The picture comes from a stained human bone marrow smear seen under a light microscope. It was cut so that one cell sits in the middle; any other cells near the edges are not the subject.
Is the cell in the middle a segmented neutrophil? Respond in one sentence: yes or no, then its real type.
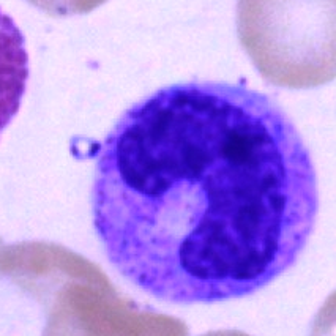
No, the central cell is designated a band neutrophil and not a segmented neutrophil.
